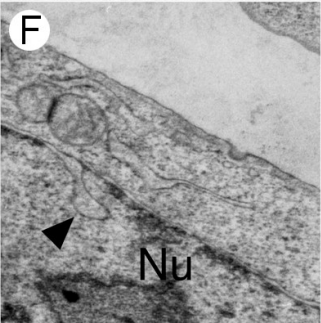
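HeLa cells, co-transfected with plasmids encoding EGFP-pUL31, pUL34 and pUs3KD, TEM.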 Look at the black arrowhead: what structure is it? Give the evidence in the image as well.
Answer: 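A membrane-bound fold extends from the nuclear envelope into the nucleus.
Answer: invaginations of the inner nuclear membrane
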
